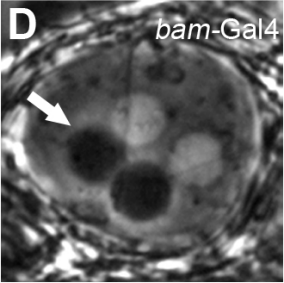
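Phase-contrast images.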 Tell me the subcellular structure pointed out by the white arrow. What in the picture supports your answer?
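Nebenkerne. The arrow points to a dark, round body. Pale round bodies lie next to the dark ones.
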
